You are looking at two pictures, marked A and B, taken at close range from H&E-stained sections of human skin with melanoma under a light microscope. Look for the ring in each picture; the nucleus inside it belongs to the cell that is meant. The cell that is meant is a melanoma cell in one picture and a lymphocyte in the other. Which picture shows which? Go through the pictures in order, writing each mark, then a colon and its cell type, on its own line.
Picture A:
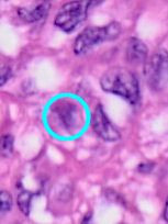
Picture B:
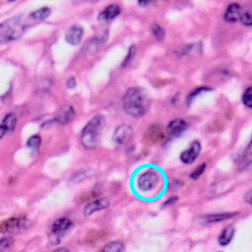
A: melanoma cell
B: lymphocyte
